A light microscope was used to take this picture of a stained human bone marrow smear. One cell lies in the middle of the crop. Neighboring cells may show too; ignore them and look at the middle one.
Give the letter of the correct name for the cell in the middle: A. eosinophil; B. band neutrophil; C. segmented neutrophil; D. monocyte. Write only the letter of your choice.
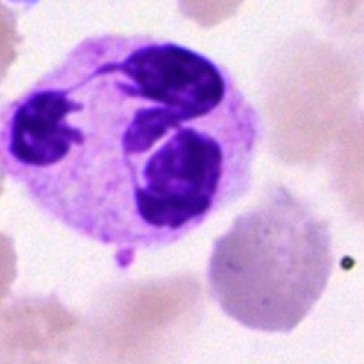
C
